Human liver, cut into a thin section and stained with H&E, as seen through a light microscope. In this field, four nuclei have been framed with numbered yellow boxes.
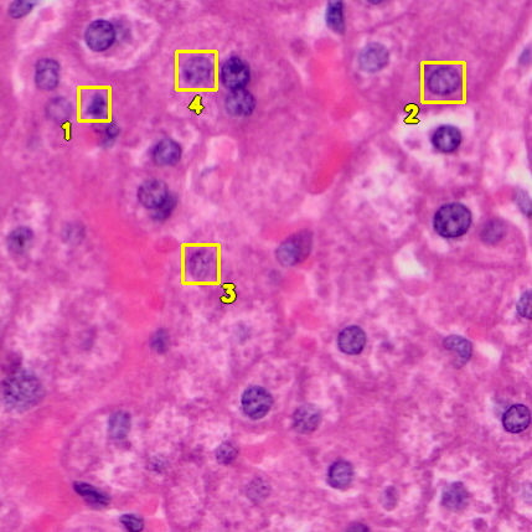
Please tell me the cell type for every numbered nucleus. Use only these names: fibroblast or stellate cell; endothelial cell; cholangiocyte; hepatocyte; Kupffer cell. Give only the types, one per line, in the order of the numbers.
fibroblast or stellate cell
hepatocyte
hepatocyte
hepatocyte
